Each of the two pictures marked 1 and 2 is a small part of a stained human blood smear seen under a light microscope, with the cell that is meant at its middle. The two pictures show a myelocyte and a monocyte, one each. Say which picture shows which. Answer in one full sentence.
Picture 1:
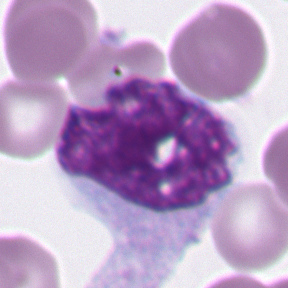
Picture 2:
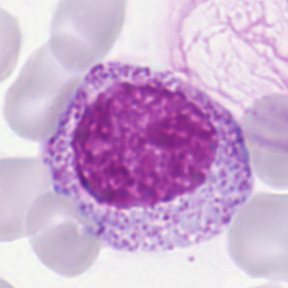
It is picture 1 that shows a monocyte, and picture 2 that shows a myelocyte.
